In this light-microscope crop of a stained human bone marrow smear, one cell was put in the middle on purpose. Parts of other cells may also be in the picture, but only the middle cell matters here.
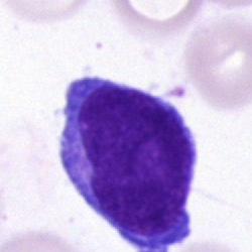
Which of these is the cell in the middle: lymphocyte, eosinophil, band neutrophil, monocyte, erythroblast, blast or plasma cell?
blast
